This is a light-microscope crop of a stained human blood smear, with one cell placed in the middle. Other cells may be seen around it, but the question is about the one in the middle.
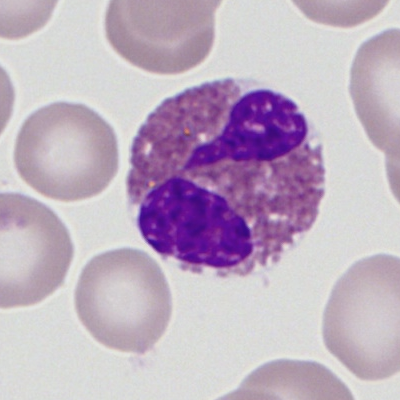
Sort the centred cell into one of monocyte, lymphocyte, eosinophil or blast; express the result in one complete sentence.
Framed in the middle of the crop is an eosinophil.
